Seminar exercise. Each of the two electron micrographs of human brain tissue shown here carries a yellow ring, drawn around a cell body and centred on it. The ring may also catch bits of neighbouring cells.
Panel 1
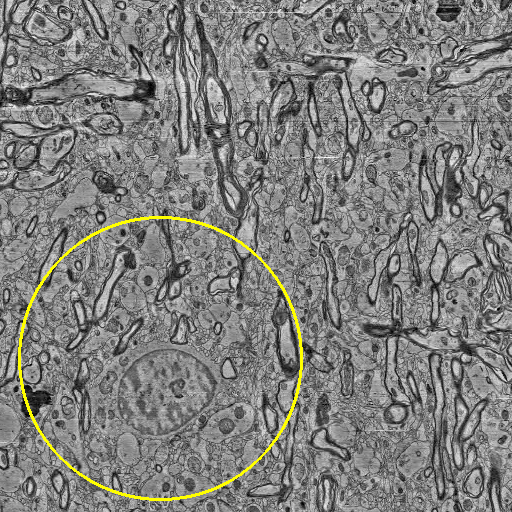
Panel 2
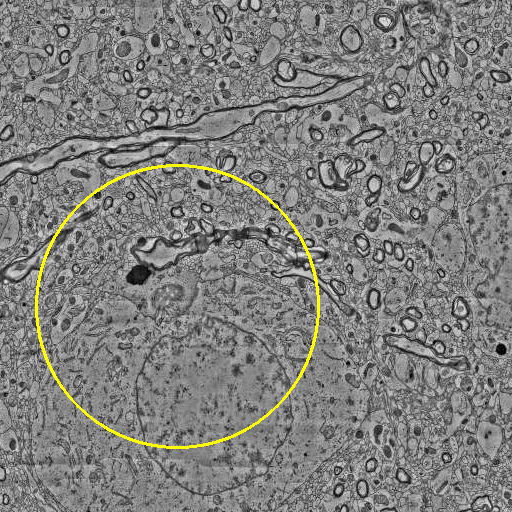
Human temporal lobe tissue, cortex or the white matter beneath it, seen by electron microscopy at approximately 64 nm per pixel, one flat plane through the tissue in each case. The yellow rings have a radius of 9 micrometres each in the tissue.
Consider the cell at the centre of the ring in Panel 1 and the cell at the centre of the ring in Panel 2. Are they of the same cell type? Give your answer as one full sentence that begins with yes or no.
Yes, both cells are of the same type.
